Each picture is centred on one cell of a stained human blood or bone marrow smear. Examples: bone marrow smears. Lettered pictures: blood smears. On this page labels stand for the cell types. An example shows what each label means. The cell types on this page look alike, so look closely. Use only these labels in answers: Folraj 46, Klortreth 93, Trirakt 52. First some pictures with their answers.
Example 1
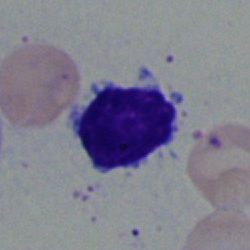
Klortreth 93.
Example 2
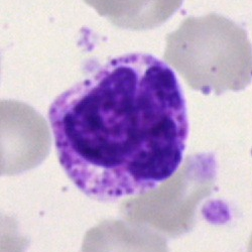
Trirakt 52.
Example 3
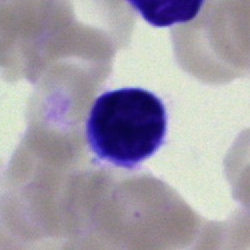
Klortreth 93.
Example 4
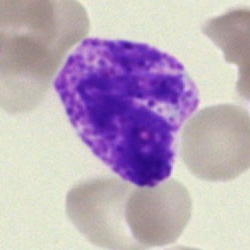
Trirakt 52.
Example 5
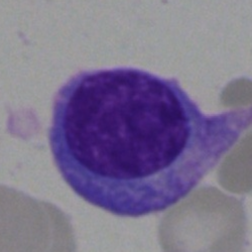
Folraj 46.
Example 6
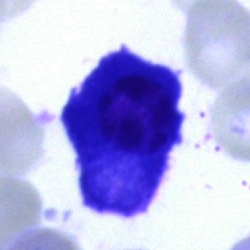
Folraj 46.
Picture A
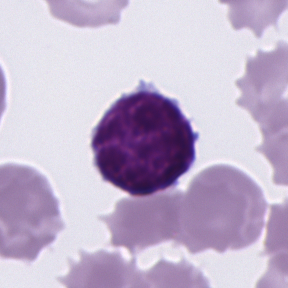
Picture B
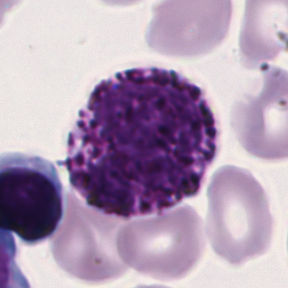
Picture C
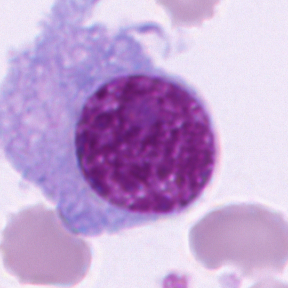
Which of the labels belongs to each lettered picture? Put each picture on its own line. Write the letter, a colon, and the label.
A: Klortreth 93.
B: Trirakt 52.
C: Folraj 46.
